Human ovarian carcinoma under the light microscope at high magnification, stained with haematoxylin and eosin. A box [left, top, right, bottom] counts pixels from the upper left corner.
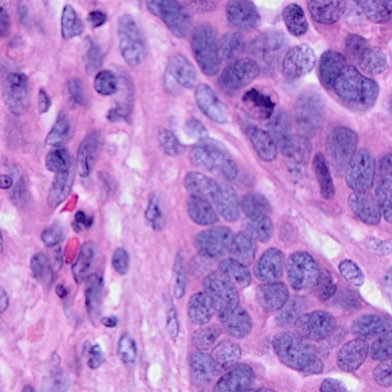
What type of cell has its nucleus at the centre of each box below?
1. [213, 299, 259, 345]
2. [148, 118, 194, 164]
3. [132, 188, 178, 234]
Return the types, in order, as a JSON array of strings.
["carcinoma cell", "fibroblast", "fibroblast"]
